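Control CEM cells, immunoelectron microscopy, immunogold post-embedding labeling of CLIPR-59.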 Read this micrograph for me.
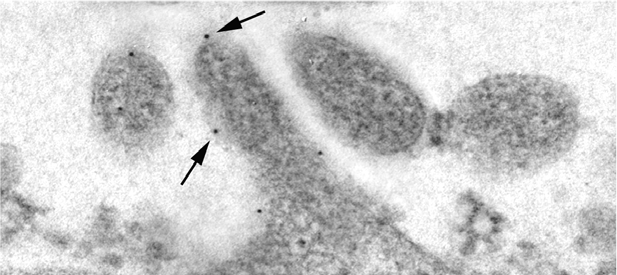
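The edge of a cell is seen with rounded and elongated protrusions of its surface, their granular cytoplasm bounded by a membrane against a pale extracellular space. A few small, sharply round black dots lie at the margins of these protrusions.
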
